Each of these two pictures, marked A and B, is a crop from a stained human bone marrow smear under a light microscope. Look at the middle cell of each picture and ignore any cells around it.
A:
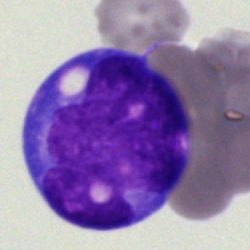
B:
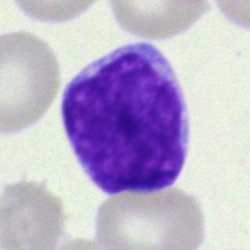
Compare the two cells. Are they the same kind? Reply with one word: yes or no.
yes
